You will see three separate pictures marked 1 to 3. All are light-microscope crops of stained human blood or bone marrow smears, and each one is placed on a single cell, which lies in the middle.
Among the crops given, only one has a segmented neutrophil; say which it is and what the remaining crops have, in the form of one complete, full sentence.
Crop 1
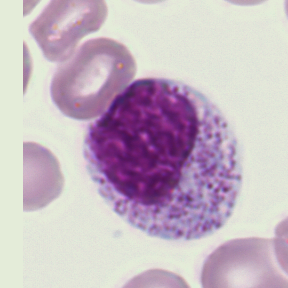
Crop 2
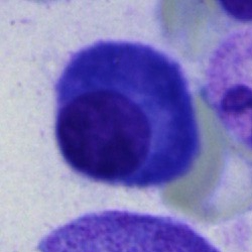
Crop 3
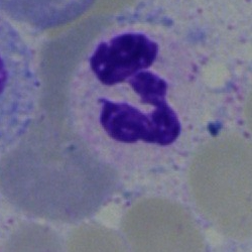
Crop 3 presents a segmented neutrophil at its centre, whereas crop 1 is a myelocyte and crop 2 is a plasma cell.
